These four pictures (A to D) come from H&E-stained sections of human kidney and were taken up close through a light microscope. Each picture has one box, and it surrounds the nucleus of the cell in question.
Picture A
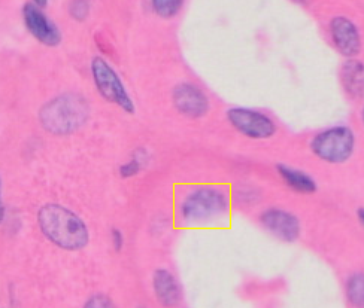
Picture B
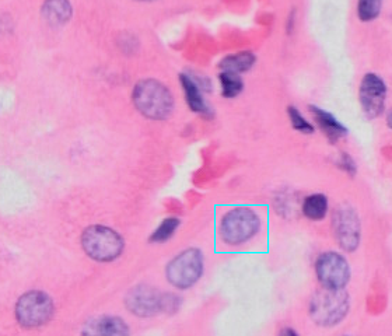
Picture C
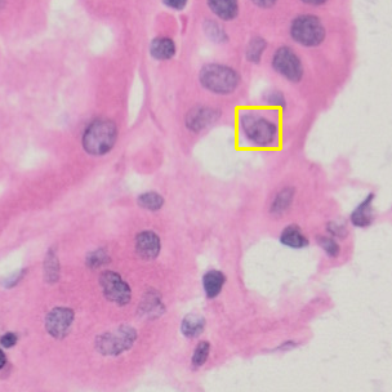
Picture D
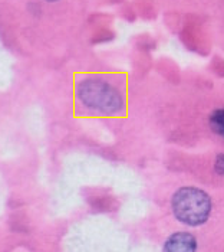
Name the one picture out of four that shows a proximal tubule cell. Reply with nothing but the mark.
D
